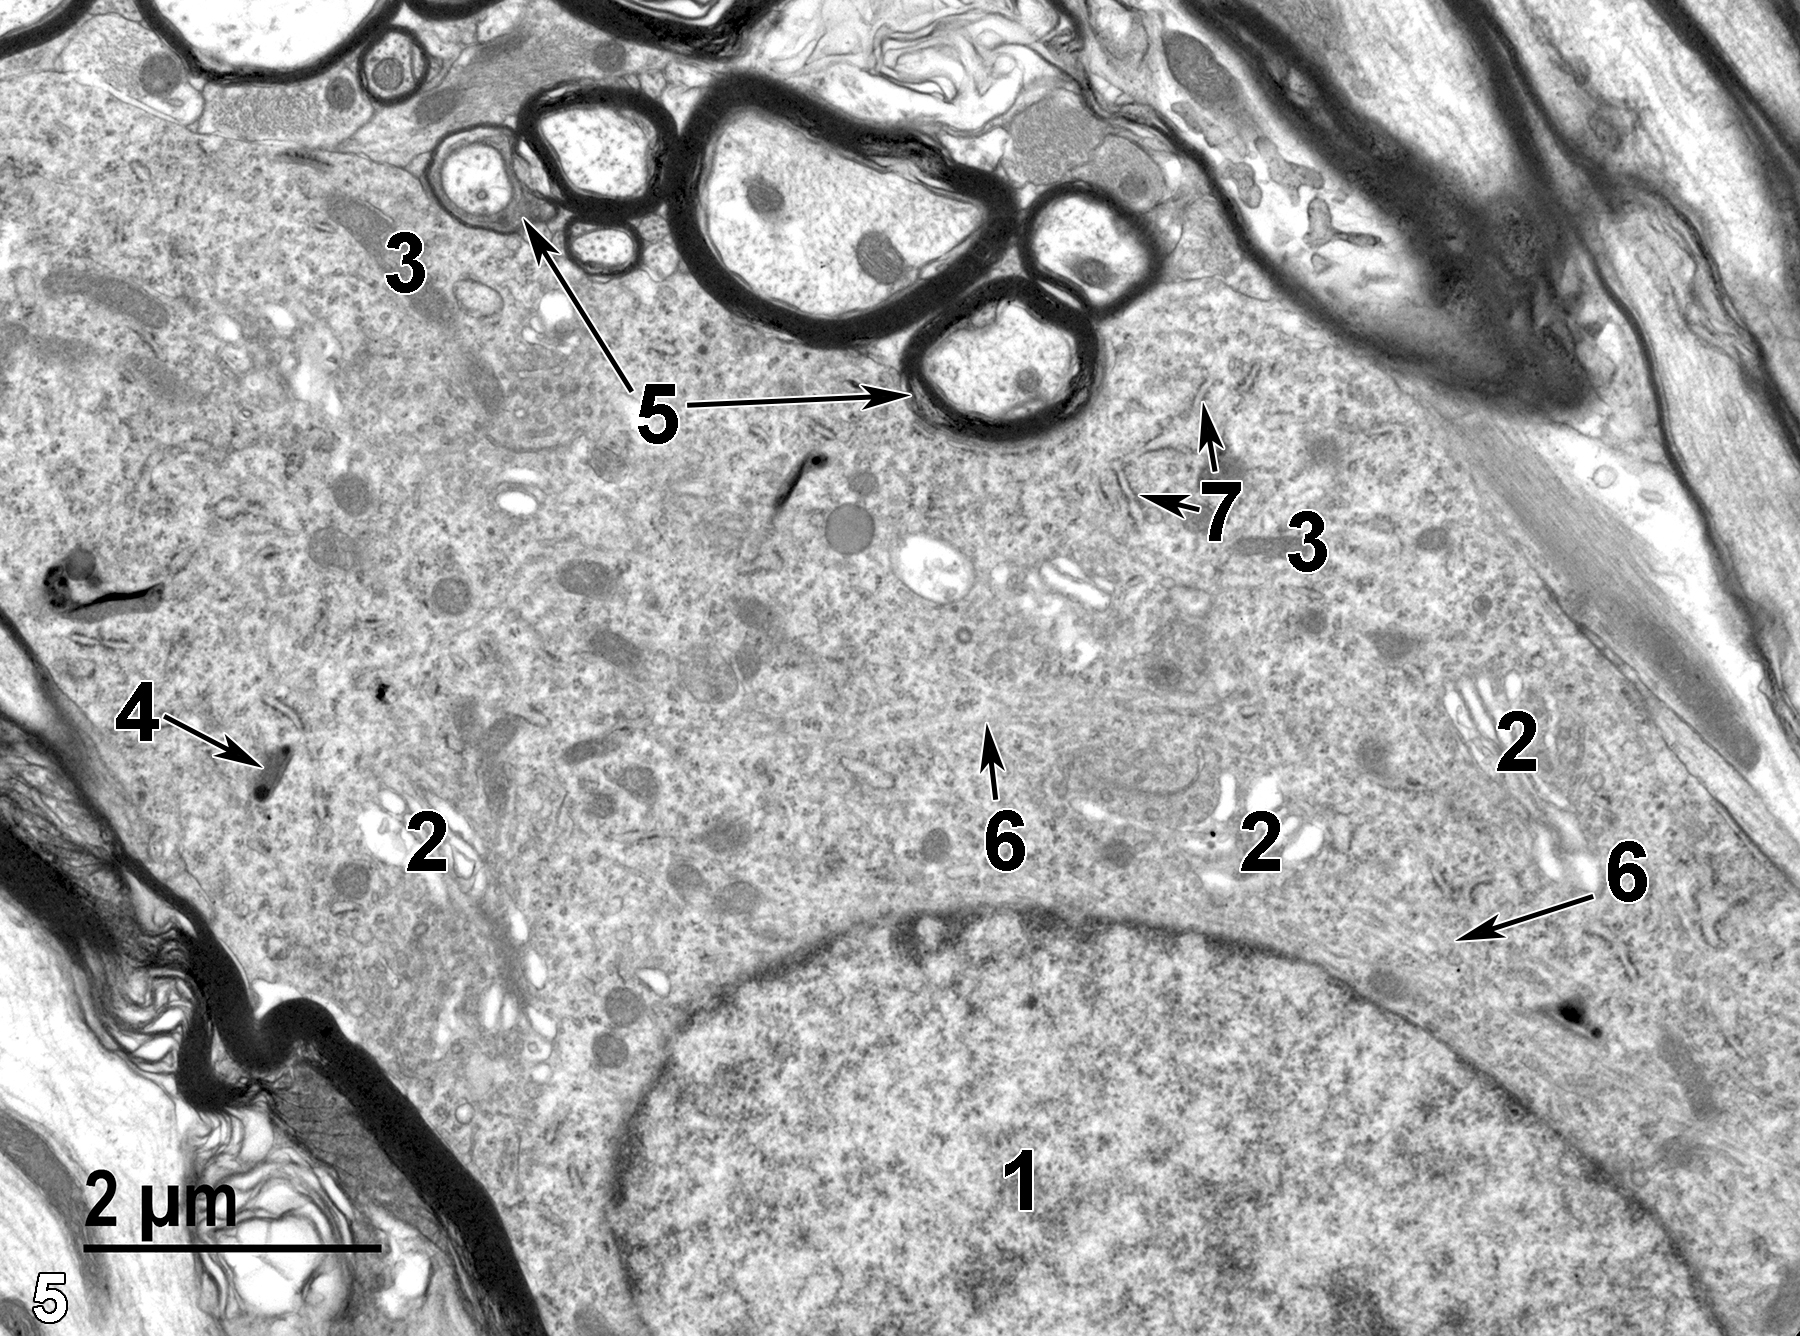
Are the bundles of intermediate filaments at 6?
Yes, 6 marks the bundles of intermediate filaments.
